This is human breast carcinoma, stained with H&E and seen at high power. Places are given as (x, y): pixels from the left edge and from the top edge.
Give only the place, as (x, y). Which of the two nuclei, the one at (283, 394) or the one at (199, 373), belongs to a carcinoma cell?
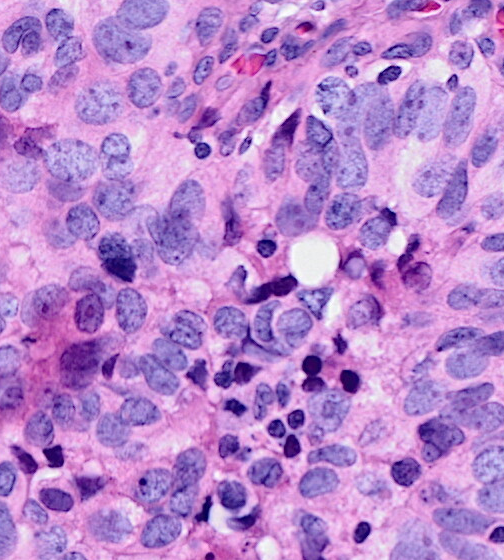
(199, 373)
